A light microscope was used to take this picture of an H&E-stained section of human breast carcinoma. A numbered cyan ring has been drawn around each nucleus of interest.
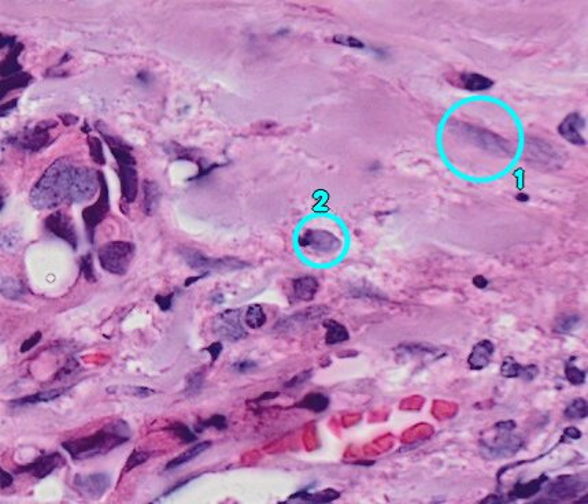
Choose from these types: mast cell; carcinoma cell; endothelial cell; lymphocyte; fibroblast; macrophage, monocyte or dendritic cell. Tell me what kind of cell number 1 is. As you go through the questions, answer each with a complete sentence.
In this section, the cell tagged 1 is a fibroblast.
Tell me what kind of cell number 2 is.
Cell 2 is classified as a macrophage, monocyte or dendritic cell.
